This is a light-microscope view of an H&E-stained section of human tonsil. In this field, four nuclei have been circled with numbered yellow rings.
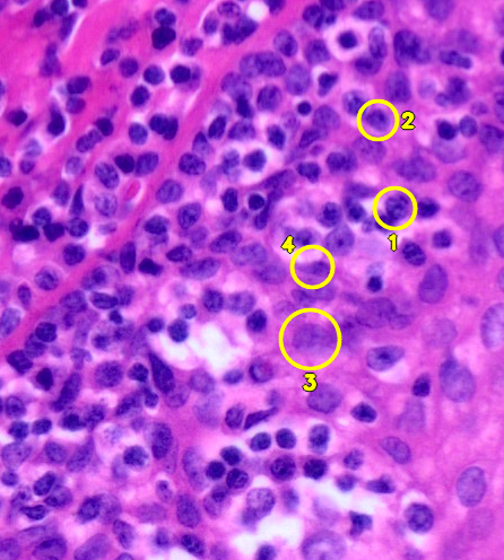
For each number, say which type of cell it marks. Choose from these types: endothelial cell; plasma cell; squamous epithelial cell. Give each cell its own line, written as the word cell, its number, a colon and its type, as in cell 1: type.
cell 1: plasma cell
cell 2: squamous epithelial cell
cell 3: squamous epithelial cell
cell 4: squamous epithelial cell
